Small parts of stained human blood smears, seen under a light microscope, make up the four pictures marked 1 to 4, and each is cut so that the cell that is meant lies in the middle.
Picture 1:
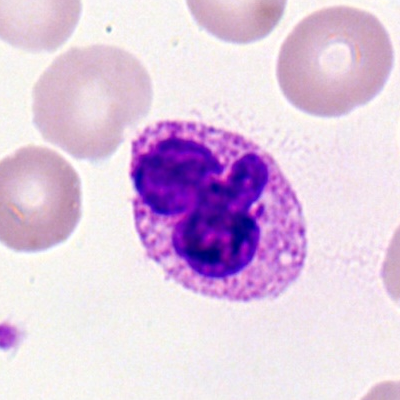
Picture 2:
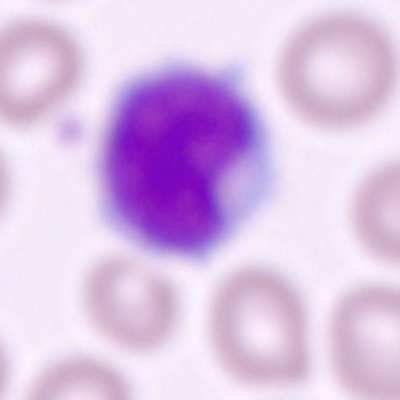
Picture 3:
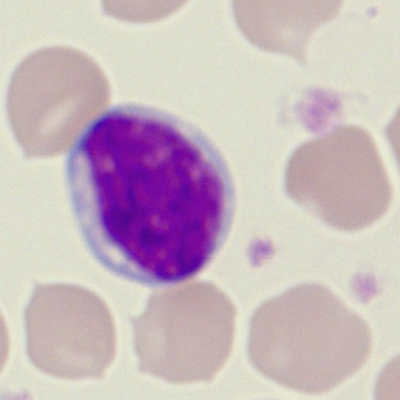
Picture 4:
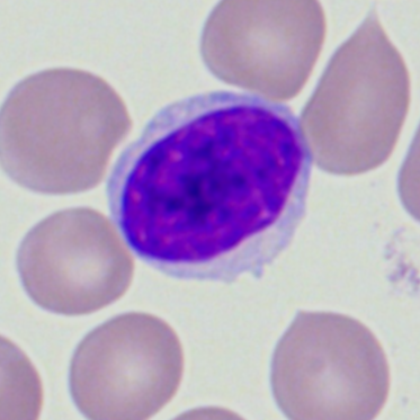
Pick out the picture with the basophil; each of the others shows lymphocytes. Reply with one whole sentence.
The basophil is the one in picture 1.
